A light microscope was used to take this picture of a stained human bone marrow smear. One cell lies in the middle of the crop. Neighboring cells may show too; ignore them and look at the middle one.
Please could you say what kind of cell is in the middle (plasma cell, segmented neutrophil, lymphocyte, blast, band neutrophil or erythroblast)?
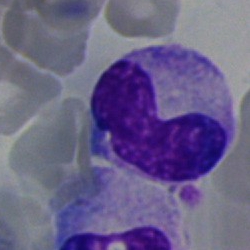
band neutrophil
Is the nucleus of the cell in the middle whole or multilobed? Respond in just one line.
In this cell the nucleus is a solitary compact mass, round, oval or kidney-shaped.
